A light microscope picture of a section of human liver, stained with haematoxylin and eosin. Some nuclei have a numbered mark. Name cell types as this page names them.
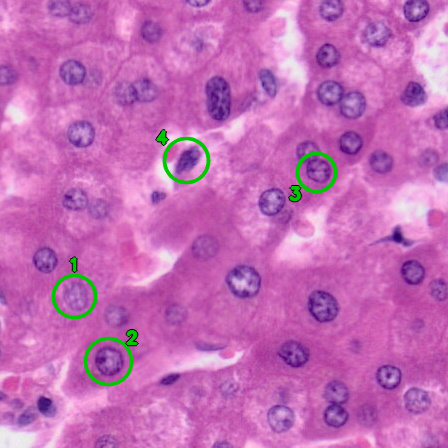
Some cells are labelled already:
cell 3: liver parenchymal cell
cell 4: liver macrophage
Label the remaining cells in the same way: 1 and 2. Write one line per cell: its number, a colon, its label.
1: liver parenchymal cell
2: liver parenchymal cell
